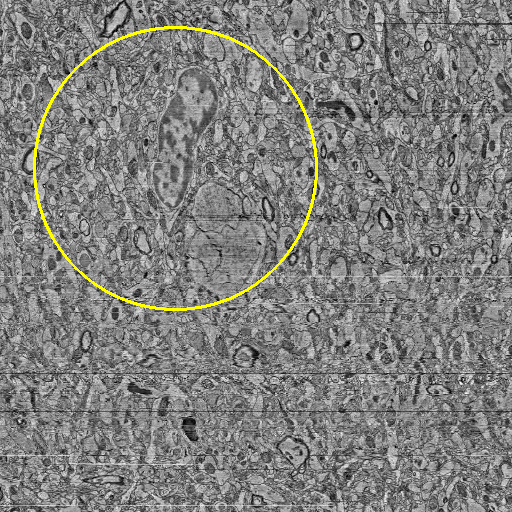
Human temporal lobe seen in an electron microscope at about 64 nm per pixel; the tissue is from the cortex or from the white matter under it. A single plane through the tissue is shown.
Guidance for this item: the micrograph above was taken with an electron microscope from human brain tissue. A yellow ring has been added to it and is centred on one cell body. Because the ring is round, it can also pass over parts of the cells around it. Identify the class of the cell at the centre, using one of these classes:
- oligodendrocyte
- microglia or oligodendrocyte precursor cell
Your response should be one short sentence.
The ring surrounds the body of a microglial cell or oligodendrocyte precursor cell.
